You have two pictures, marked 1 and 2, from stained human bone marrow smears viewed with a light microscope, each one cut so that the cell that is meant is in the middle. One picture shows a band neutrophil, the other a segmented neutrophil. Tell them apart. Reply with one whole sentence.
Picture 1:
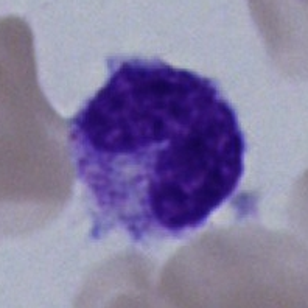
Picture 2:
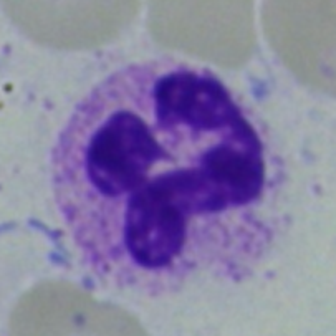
It is picture 1 that shows a band neutrophil, and picture 2 that shows a segmented neutrophil.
